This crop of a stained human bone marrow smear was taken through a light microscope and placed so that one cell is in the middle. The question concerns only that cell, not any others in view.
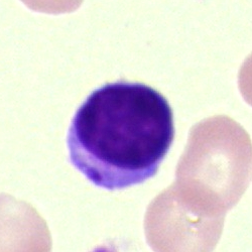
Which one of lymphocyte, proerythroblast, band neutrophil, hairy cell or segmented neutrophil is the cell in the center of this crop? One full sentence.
The cell marked by its central position in the crop is a lymphocyte.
